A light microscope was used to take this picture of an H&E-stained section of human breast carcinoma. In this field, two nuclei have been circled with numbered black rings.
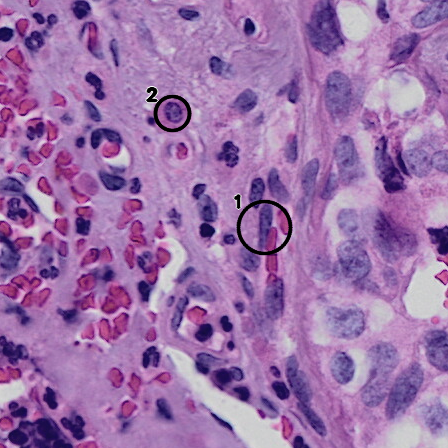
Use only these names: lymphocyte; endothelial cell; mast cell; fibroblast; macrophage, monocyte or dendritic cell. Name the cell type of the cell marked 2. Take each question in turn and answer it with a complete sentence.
The cell that goes by number 2 is a mast cell.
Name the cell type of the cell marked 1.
Cell 1 in the field of view is an endothelial cell.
